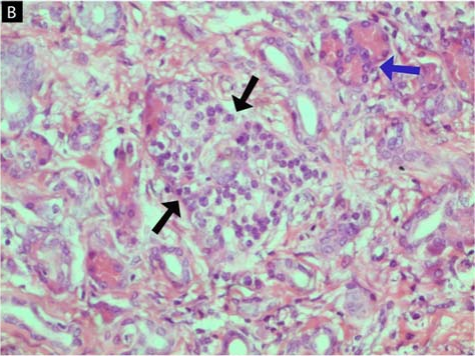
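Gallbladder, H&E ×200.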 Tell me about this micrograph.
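An islet of Langerhans lies among exocrine acini in pink fibrous stroma. The islet is a rounded cluster of small cells with round dark nuclei and pale cytoplasm. Nearby acini are small groups of cells with pink-orange granular cytoplasm, and small empty duct-like spaces are scattered through the stroma.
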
